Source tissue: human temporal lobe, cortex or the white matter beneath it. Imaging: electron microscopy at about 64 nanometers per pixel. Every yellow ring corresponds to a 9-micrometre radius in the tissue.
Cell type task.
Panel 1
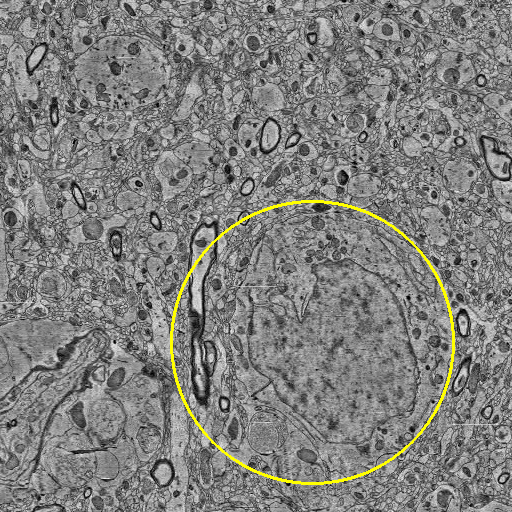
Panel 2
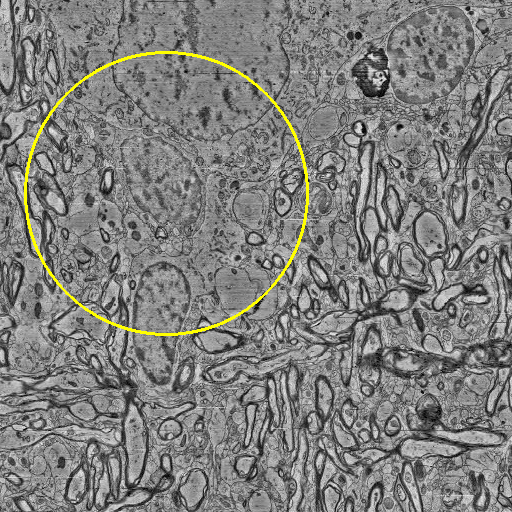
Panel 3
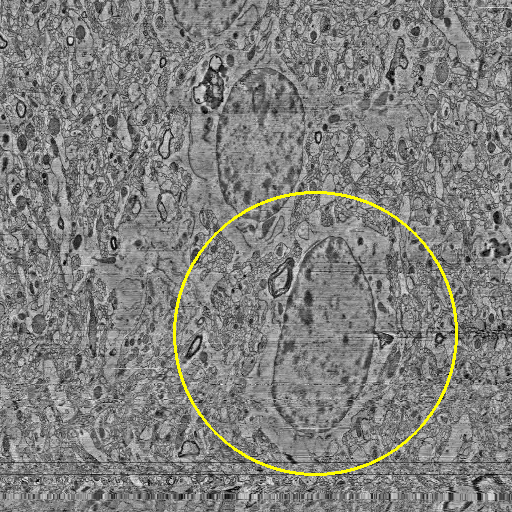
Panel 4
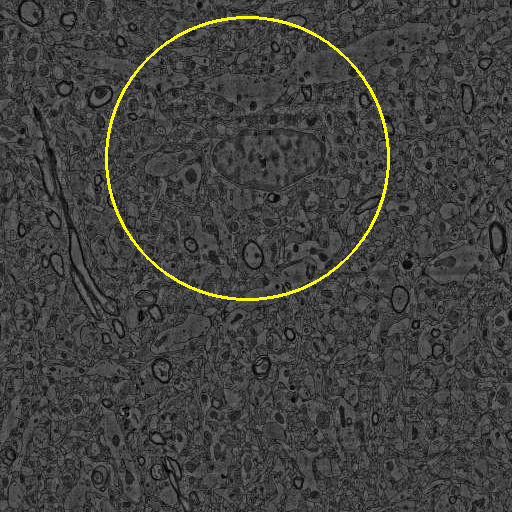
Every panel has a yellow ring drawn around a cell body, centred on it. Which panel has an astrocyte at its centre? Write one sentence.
It sits at the centre of the ring in Panel 3.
